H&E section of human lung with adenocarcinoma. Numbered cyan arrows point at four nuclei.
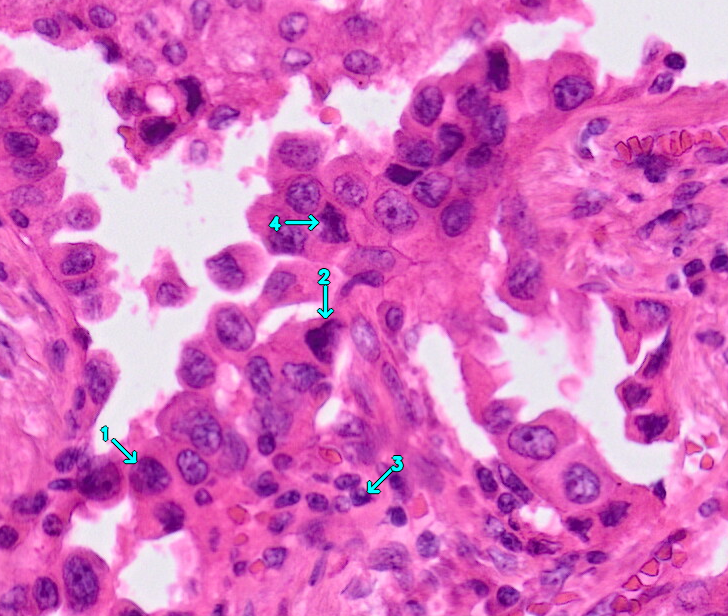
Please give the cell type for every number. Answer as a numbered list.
1. carcinoma cell
2. carcinoma cell
3. lymphocyte
4. carcinoma cell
